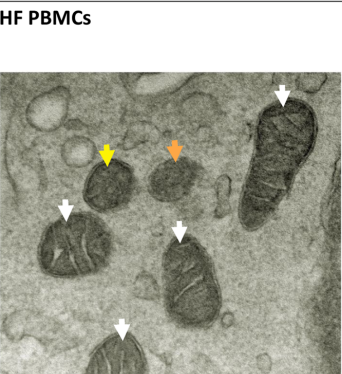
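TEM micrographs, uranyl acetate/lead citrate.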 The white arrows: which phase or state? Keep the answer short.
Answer: healthy mitochondrion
